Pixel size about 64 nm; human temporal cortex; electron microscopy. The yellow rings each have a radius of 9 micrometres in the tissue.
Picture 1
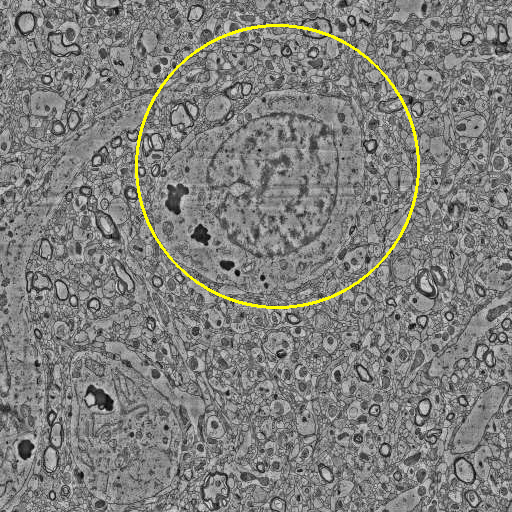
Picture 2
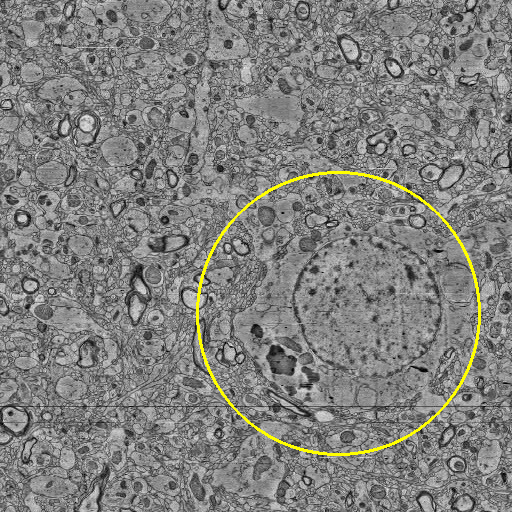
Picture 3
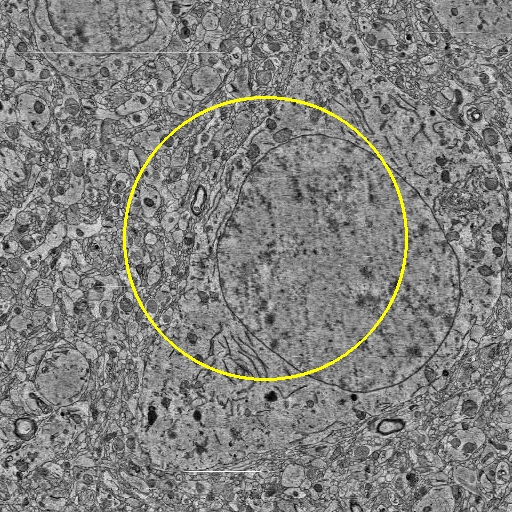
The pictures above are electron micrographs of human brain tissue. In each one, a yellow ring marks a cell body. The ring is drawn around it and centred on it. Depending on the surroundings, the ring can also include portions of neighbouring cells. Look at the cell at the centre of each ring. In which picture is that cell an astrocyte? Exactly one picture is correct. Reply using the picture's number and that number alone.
2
